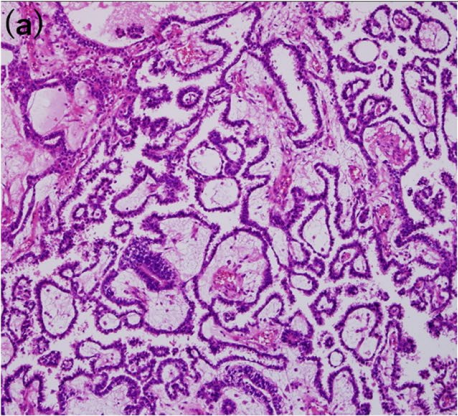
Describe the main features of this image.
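This yolk sac tumor tissue consists of small tumor cells with dark purple nuclei lining a loose network of cystic, luminal and microcystic spaces. The spaces are of varying size and many contain pale pink or clear material. The tumor cells form thin cords and single layers that branch and interconnect throughout the field. Small pink, vessel-like cores surrounded by tumor cells are scattered among the spaces.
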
